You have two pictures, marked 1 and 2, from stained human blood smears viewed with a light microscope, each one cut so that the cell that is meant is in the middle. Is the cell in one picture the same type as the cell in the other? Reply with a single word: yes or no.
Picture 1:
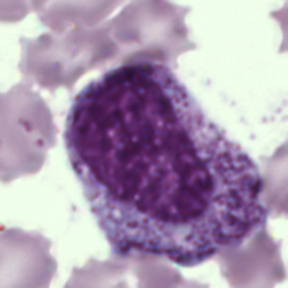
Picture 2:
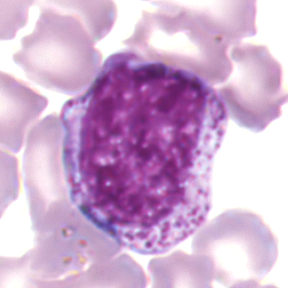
yes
